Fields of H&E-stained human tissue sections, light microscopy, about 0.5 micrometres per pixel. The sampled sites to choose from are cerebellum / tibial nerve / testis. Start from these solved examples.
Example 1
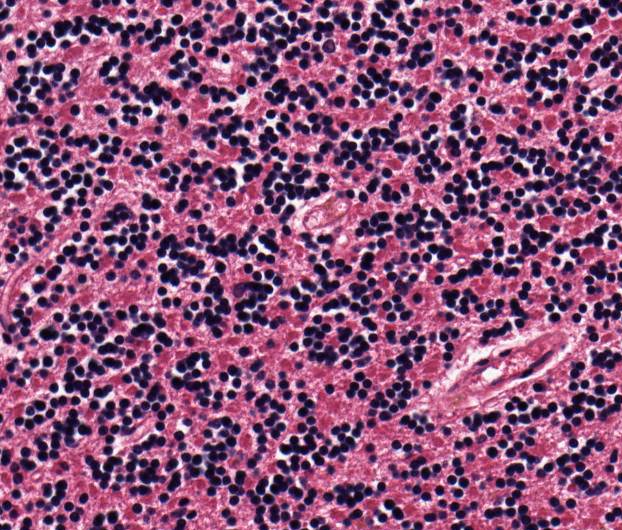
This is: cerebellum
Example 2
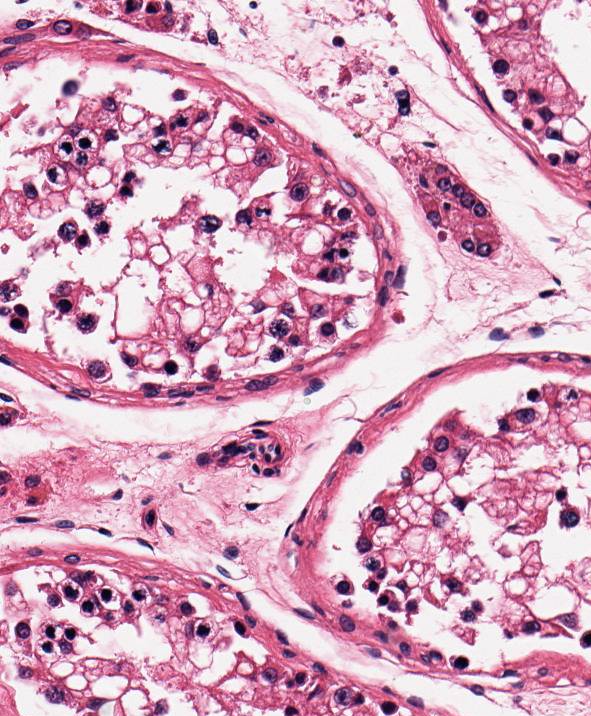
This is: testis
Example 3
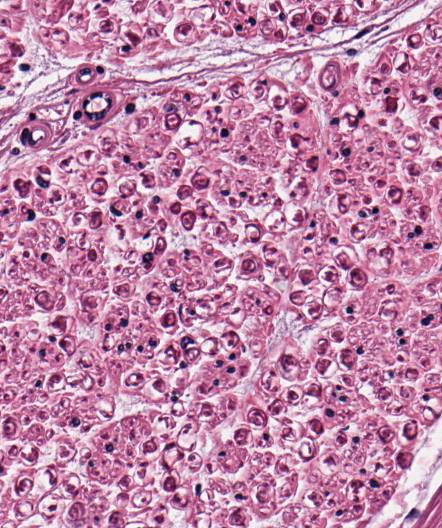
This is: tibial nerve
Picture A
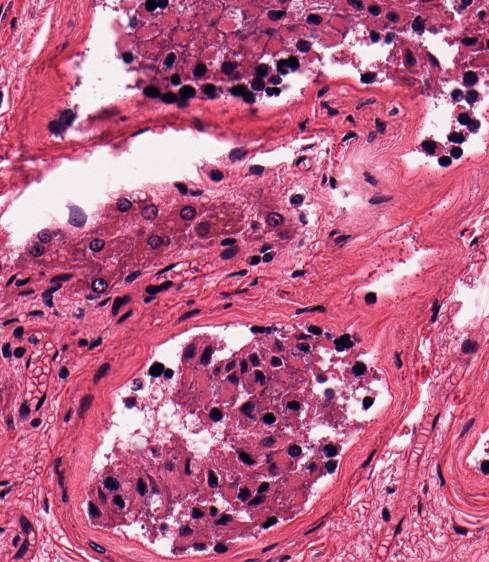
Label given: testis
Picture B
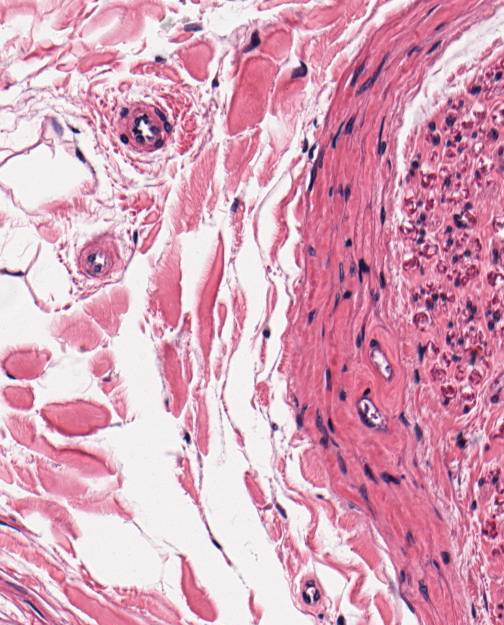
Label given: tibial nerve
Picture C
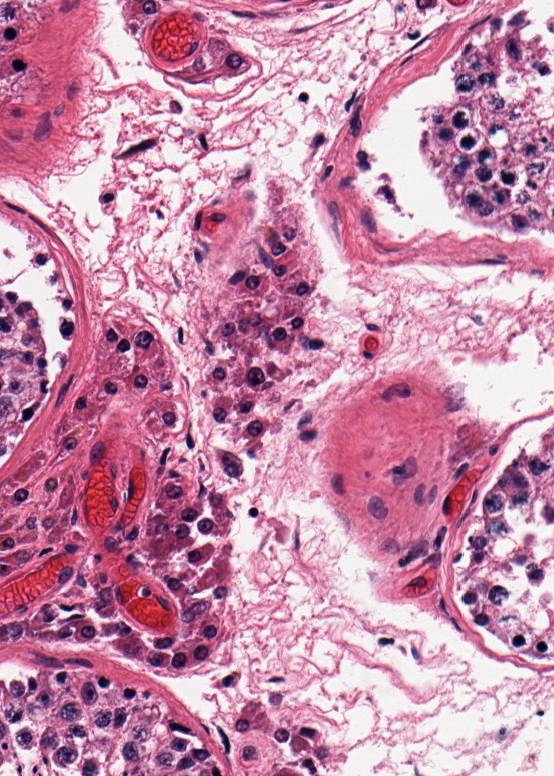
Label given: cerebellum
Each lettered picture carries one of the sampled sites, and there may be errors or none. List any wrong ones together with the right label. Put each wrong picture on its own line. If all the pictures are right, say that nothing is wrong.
C: change cerebellum to testis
